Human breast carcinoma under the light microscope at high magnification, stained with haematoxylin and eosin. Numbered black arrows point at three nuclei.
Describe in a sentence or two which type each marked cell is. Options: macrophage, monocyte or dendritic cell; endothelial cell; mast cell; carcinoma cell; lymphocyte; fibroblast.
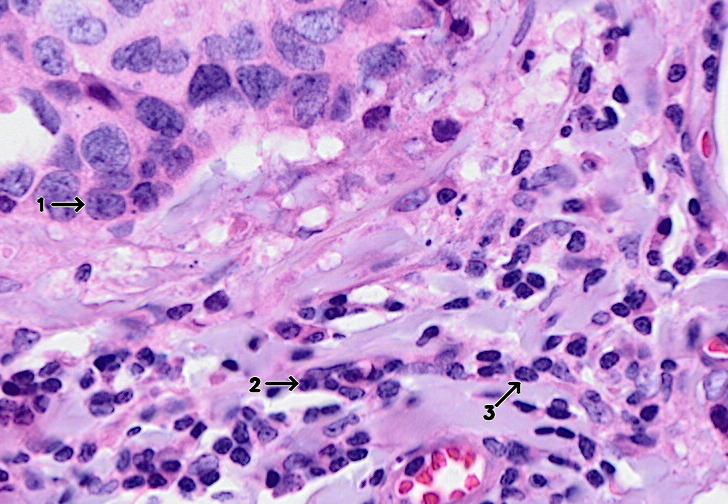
Cell 1 is a carcinoma cell, cell 2 is a lymphocyte and cell 3 is a lymphocyte.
